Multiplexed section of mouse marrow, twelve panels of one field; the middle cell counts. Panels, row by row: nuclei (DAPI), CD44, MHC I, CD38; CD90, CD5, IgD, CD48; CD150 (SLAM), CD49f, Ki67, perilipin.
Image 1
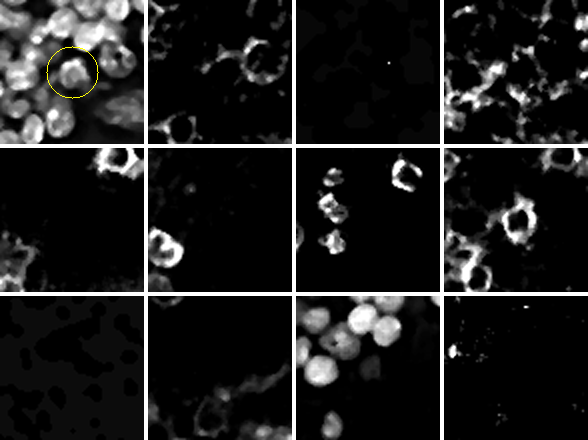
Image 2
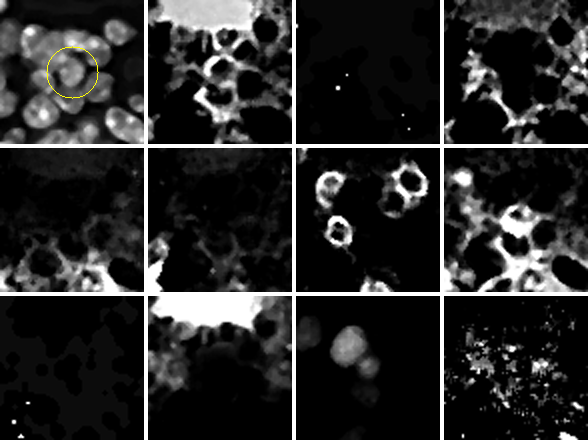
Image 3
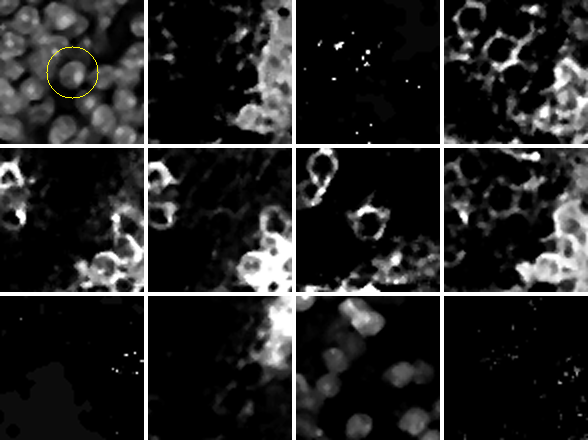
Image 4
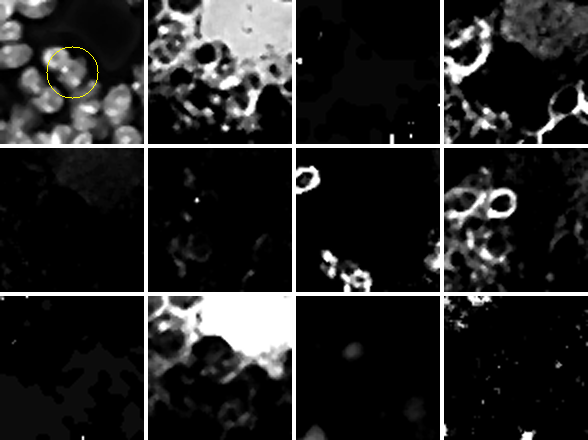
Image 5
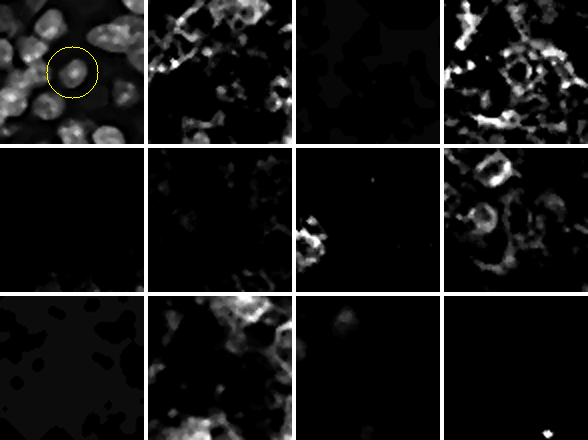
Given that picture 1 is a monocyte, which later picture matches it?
2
